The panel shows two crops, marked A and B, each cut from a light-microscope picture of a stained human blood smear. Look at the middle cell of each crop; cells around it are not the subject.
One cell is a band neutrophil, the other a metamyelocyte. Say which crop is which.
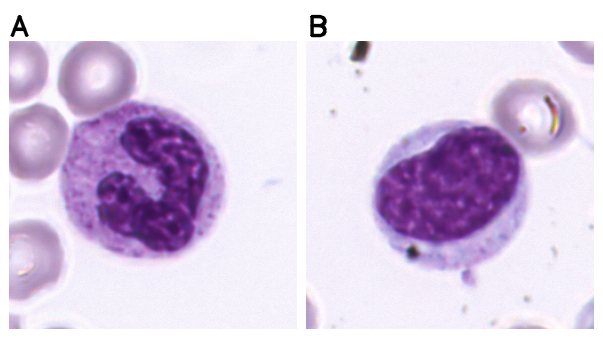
A: band neutrophil
B: metamyelocyte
